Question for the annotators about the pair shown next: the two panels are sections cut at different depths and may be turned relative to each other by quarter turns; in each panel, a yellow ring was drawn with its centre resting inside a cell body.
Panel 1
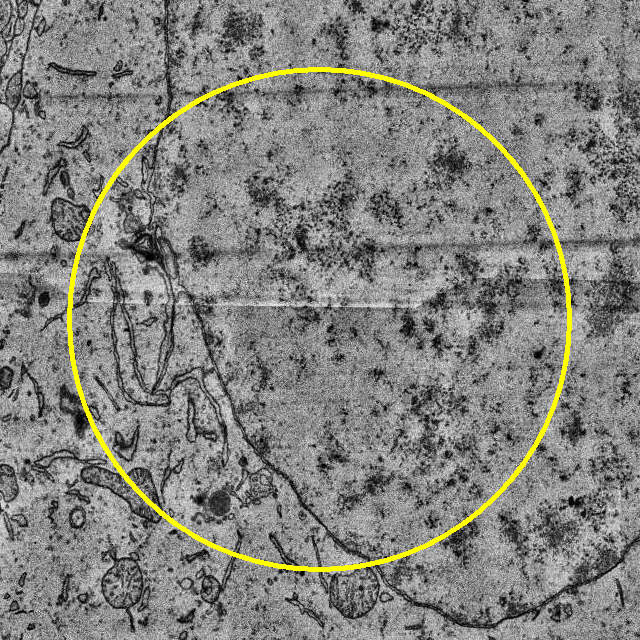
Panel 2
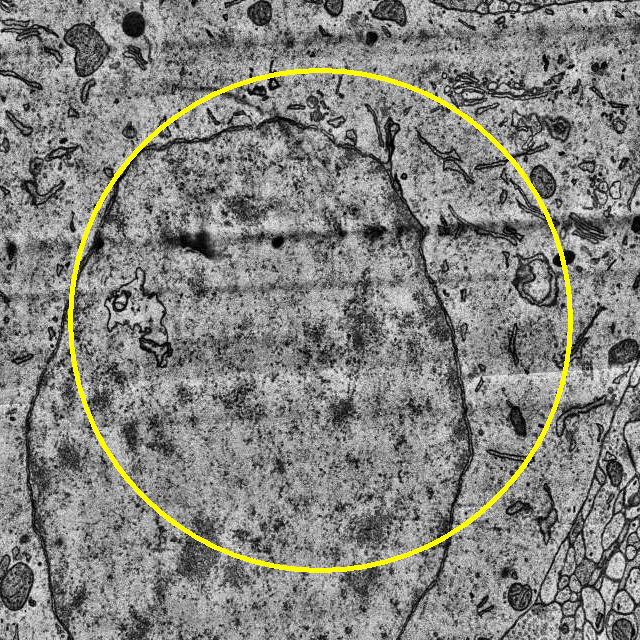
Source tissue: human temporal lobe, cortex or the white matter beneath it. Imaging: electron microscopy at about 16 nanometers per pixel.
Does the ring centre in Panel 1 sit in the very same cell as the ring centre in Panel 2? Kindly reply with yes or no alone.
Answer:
no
